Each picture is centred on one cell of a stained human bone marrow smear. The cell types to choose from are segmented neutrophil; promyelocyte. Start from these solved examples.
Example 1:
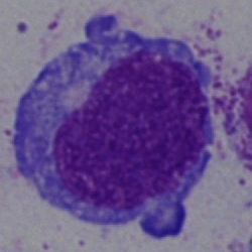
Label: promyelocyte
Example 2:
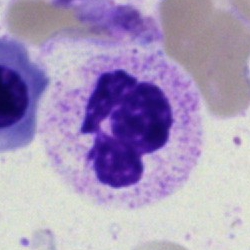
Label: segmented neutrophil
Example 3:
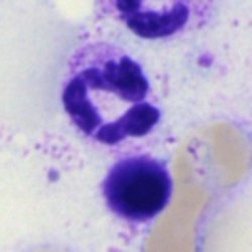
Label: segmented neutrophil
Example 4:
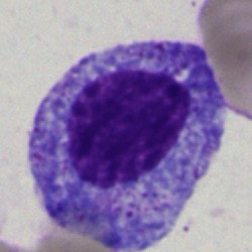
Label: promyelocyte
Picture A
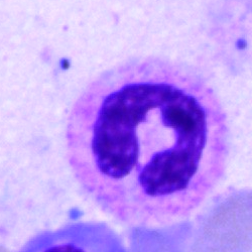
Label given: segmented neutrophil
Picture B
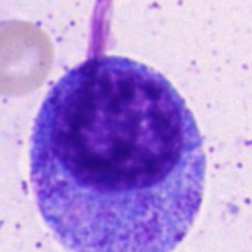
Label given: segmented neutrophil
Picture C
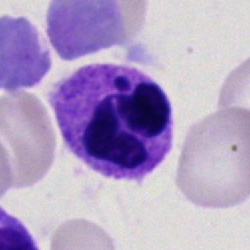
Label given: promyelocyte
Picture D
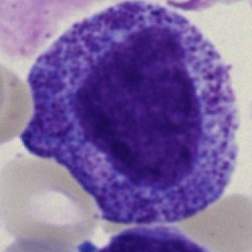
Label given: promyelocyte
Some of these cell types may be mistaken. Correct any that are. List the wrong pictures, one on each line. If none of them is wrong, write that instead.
B is labelled segmented neutrophil; correct label: promyelocyte
C is labelled promyelocyte; correct label: segmented neutrophil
